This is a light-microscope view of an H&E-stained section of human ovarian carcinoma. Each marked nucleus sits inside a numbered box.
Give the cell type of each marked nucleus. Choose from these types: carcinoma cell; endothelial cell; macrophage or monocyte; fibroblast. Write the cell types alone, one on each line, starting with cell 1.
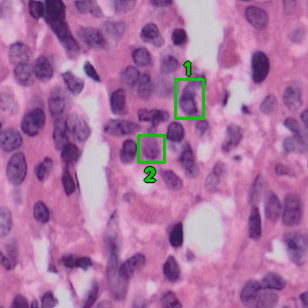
macrophage or monocyte
carcinoma cell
